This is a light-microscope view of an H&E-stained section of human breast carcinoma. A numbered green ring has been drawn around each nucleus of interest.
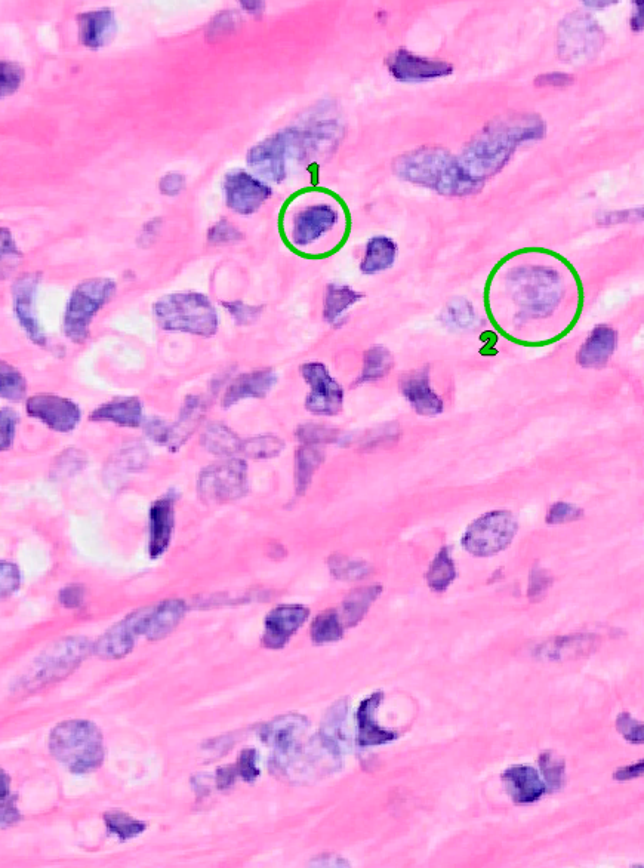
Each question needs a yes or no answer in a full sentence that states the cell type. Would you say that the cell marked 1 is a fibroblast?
No, number 1 marks a lymphocyte rather than a fibroblast.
